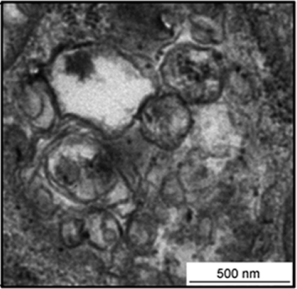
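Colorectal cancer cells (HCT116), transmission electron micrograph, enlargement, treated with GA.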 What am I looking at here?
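A cluster of rounded, membrane-bound vesicles of varying size sits within the cytoplasm, several of them bounded by two or more concentric membranes. Their contents range from pale, nearly empty lumens to whorled membranes and granular material. The surrounding cytoplasm is finely granular. These double-membraned compartments enclosing cytoplasmic material are autophagic vacuoles.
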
